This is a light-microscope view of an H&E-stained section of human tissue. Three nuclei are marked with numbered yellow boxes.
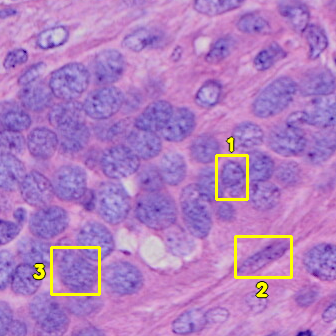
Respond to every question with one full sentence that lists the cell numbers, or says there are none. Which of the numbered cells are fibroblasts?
Mind that only cell 2 is a fibroblast, none of the rest.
